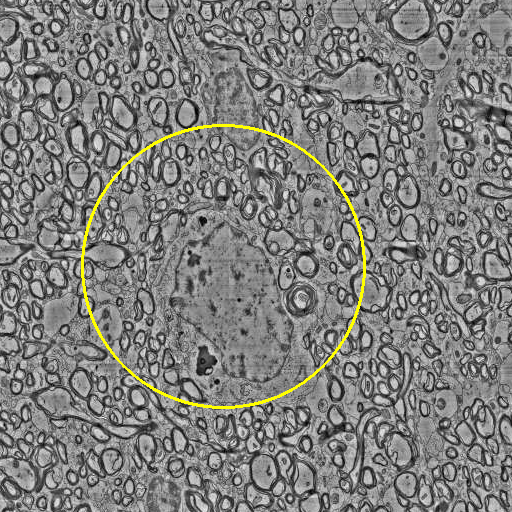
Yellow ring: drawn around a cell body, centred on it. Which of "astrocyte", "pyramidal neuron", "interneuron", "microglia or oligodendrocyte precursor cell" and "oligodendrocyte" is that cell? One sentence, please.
That cell body is from an interneuron.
